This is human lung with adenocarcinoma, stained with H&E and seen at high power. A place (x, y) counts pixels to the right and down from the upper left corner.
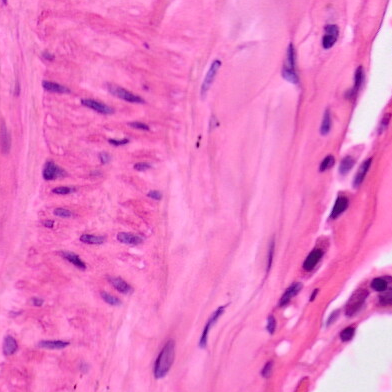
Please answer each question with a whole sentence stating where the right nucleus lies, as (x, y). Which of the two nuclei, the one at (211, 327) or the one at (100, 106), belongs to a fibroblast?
It is at (211, 327) that the nucleus of a fibroblast is found.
